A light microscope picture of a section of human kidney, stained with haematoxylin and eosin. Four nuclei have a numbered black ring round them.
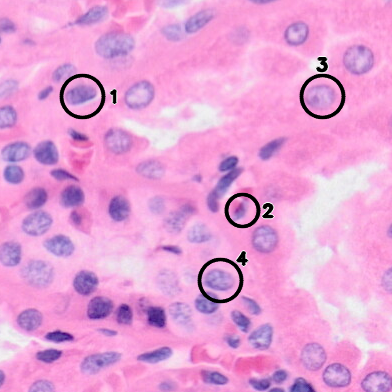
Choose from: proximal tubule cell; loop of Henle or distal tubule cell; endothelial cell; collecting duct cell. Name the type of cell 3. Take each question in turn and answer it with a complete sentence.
In this section, number 3 marks a proximal tubule cell.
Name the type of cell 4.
The cell identified by the number 4 is a collecting duct cell.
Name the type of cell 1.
Cell 1, among those numbered, is an endothelial cell.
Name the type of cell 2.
In this section, number 2 marks an endothelial cell.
